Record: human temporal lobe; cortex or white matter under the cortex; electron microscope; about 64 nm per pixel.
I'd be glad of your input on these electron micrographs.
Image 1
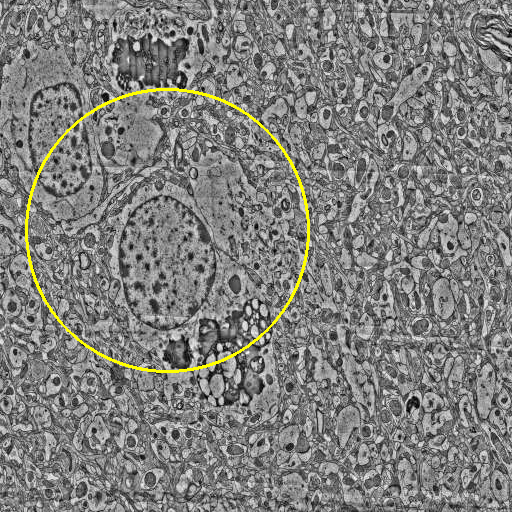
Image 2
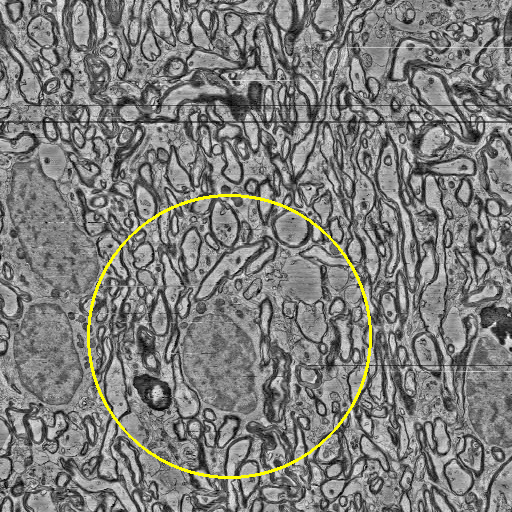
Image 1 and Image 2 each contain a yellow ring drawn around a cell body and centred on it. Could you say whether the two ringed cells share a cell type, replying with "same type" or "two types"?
two types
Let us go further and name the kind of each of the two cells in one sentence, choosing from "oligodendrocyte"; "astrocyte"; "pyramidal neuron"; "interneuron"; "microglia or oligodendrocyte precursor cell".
The ring of the first picture is on an astrocyte, the ring of the second on an oligodendrocyte.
